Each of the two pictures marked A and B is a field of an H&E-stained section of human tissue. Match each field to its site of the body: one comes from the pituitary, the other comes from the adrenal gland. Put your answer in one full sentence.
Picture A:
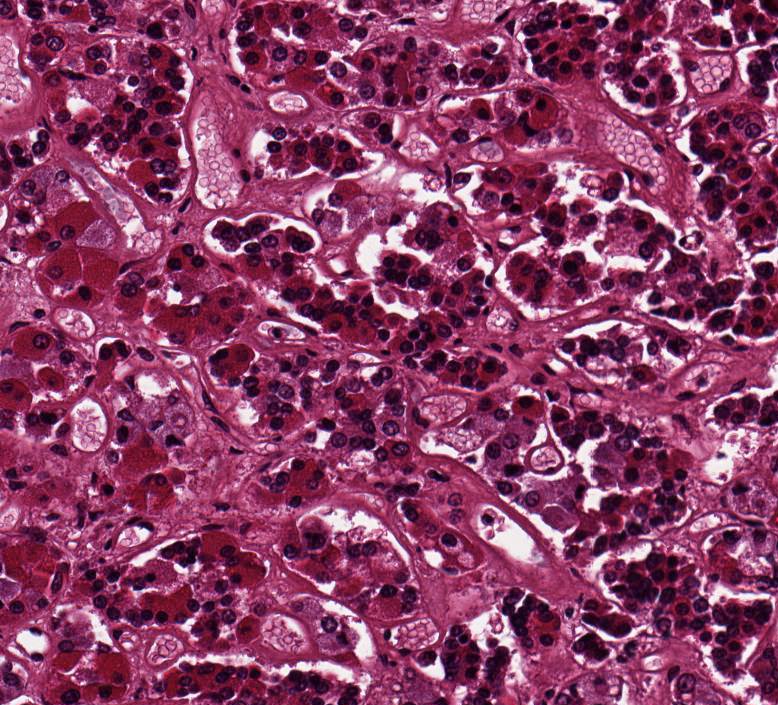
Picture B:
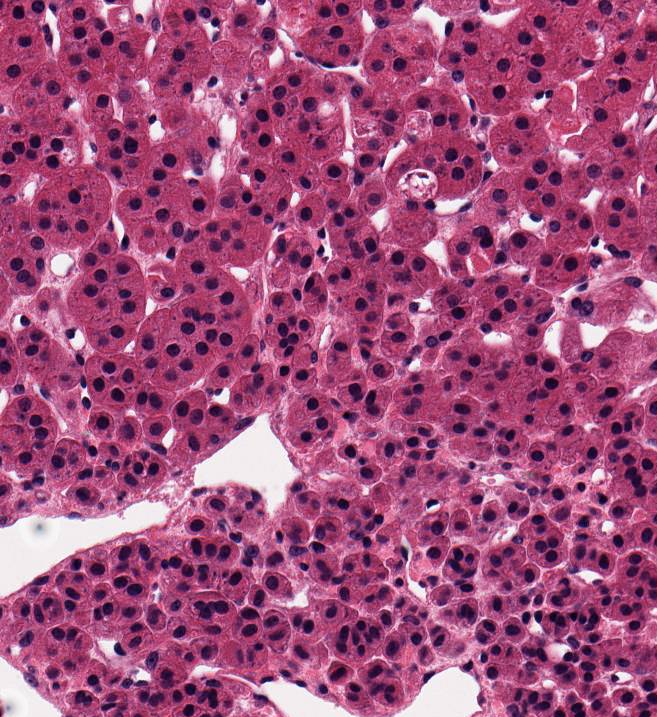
Picture A comes from the pituitary and picture B comes from the adrenal gland.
